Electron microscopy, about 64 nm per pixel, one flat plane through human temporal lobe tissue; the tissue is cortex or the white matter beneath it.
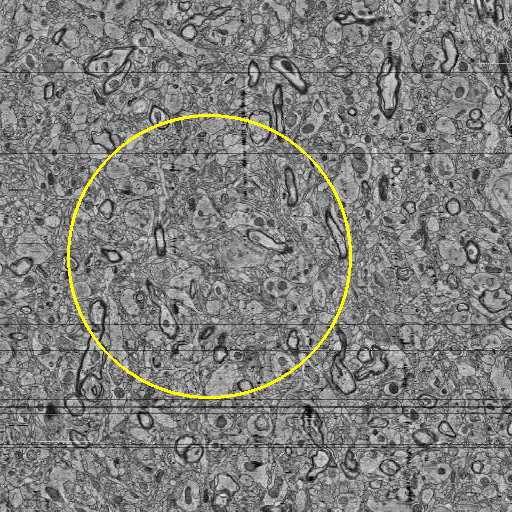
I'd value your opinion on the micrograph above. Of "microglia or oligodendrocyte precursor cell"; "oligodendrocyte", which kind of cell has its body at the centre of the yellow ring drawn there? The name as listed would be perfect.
oligodendrocyte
